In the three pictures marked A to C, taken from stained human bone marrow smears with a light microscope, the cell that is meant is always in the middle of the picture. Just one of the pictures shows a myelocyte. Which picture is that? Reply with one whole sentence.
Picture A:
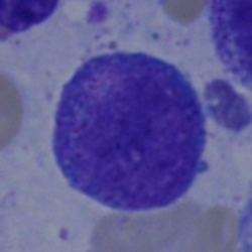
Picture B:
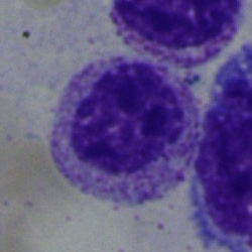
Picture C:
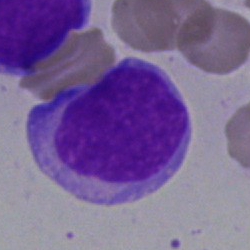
Picture B shows the myelocyte.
